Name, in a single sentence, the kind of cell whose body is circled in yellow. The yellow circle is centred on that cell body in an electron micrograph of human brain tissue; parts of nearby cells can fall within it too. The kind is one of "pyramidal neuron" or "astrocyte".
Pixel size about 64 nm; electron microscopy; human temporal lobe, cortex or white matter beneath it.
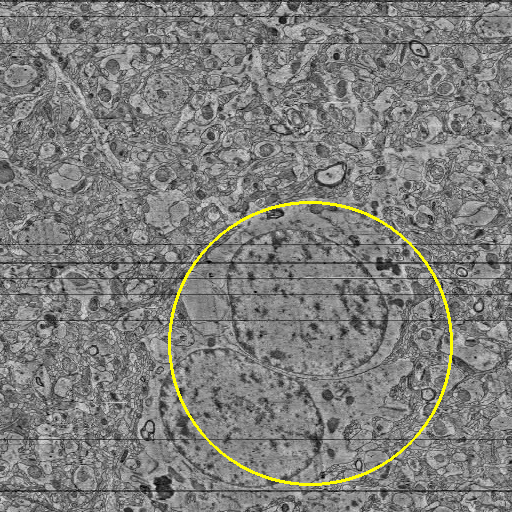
The circled cell body belongs to an astrocyte.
